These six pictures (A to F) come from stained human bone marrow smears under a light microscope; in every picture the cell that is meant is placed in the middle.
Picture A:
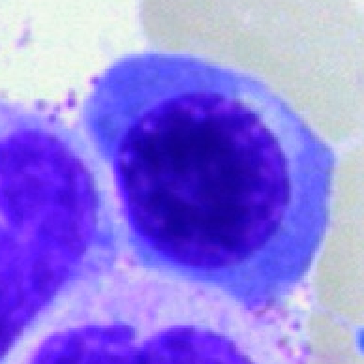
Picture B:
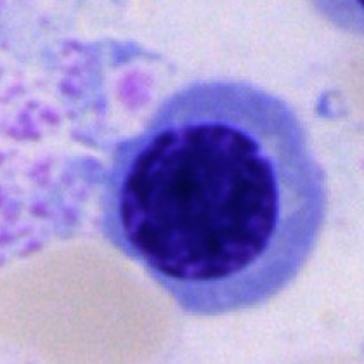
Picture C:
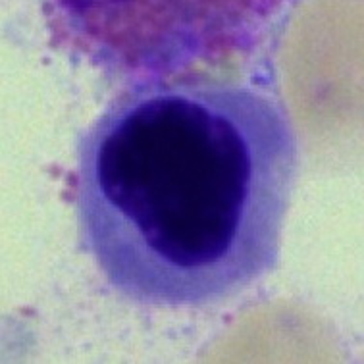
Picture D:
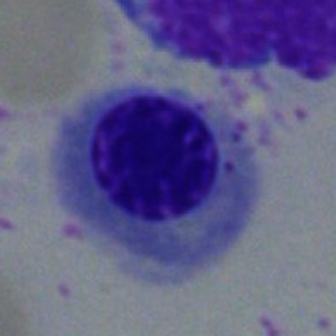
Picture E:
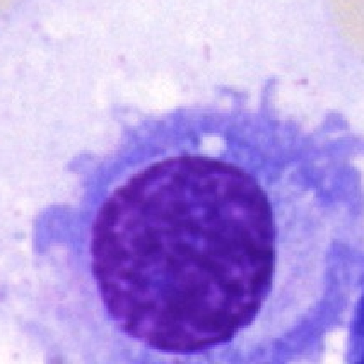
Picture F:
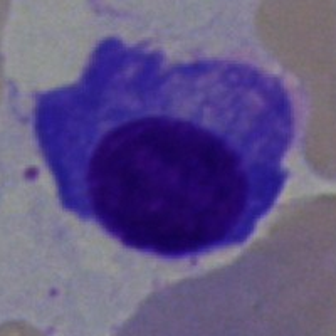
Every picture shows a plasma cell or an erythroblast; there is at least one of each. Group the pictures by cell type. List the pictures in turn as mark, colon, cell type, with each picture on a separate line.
A: erythroblast
B: erythroblast
C: erythroblast
D: erythroblast
E: plasma cell
F: plasma cell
